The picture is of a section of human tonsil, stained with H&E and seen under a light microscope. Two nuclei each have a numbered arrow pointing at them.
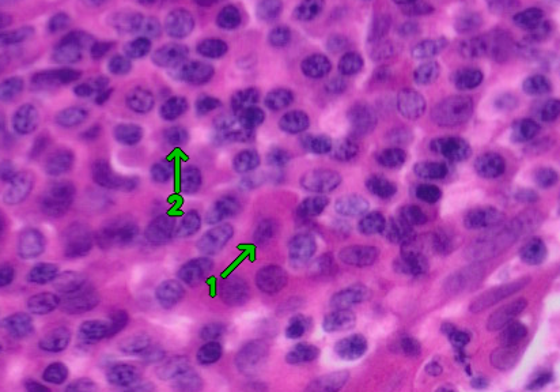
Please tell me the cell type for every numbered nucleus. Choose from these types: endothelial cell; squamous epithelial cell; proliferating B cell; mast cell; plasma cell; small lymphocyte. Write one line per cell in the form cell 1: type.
cell 1: squamous epithelial cell
cell 2: plasma cell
